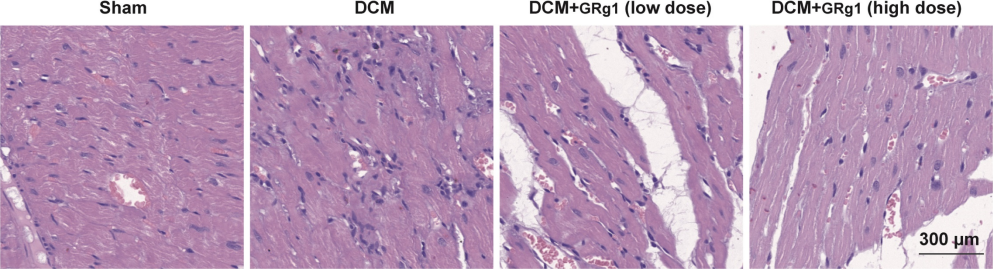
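Cardiac muscle fibres in longitudinal section, with pink cytoplasm and oval purple nuclei lying in line with the fibres. Small vessels holding red blood cells run between the fibres. In one image dark small nuclei crowd between the fibres, and in two others the fibres are parted by wide empty clefts.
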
